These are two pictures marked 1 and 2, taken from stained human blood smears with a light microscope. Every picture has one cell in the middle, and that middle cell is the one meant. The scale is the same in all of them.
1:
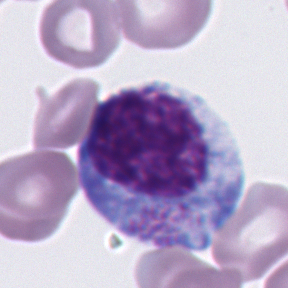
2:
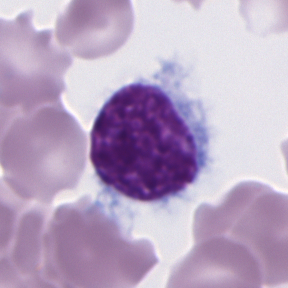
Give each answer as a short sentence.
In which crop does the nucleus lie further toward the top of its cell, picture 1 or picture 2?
In picture 1 the nucleus is shifted more toward the top.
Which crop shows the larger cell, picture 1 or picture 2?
Picture 1 holds the larger cell; it covers about 1.5 times the area of the cell in picture 2.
